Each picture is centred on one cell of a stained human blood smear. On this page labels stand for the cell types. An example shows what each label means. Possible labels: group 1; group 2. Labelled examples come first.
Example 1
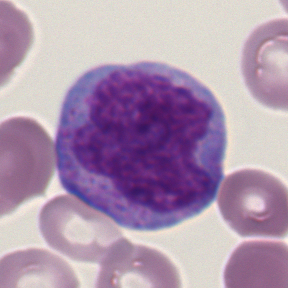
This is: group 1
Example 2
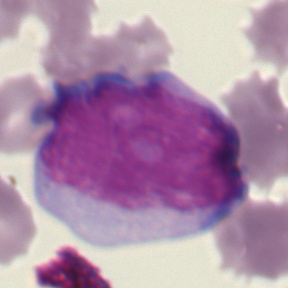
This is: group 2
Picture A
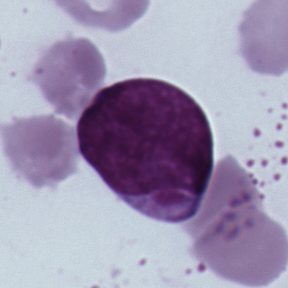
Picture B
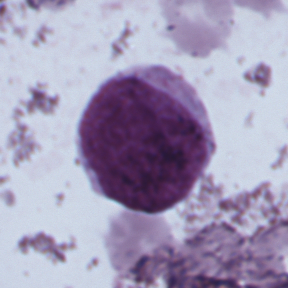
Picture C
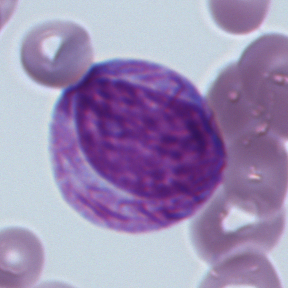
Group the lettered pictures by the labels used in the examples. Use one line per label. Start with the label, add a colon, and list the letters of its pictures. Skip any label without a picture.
group 1: C
group 2: A, B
